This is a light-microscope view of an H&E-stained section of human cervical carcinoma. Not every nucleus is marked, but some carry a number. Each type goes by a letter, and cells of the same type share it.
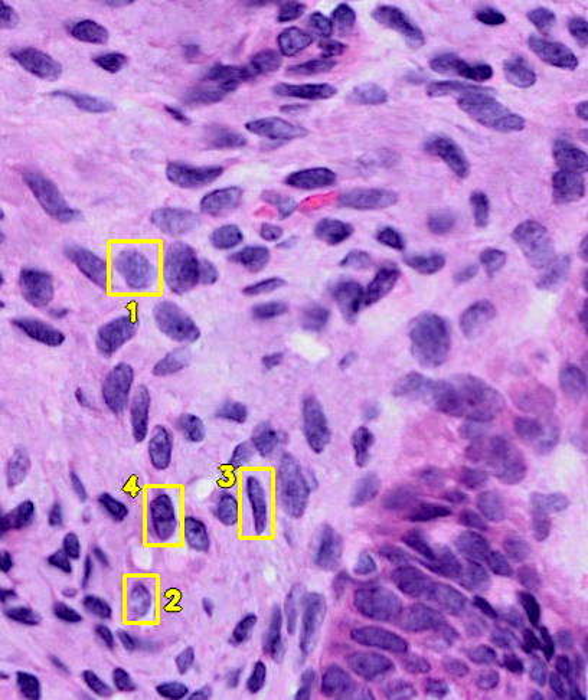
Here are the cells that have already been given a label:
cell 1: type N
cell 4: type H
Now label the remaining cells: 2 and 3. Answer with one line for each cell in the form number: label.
2: type H
3: type N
